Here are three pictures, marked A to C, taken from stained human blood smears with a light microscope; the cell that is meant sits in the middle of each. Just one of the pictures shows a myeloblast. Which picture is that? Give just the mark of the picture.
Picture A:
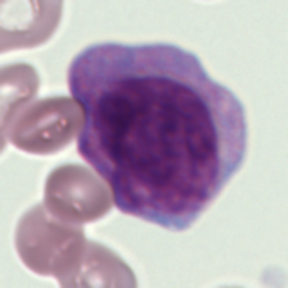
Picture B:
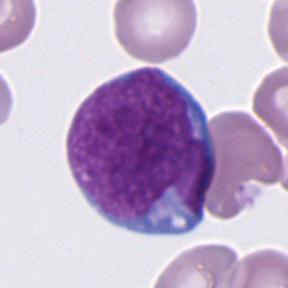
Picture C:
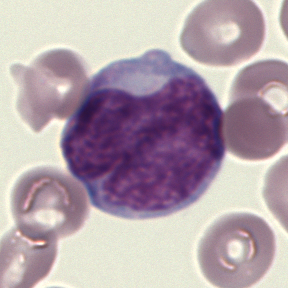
B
